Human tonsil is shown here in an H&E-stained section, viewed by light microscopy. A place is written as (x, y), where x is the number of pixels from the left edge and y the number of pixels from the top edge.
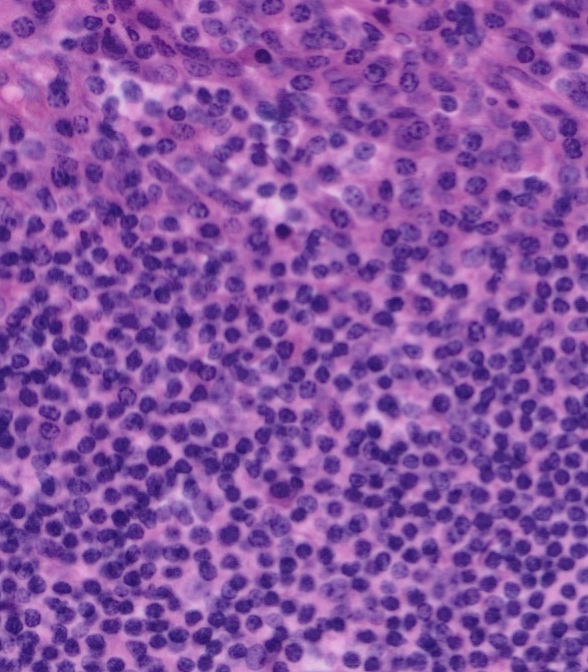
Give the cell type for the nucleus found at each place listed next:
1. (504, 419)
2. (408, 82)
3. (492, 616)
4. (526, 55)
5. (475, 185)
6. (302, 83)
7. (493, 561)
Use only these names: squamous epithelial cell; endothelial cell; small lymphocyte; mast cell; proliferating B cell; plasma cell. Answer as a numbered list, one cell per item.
1. small lymphocyte
2. plasma cell
3. small lymphocyte
4. plasma cell
5. plasma cell
6. plasma cell
7. small lymphocyte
